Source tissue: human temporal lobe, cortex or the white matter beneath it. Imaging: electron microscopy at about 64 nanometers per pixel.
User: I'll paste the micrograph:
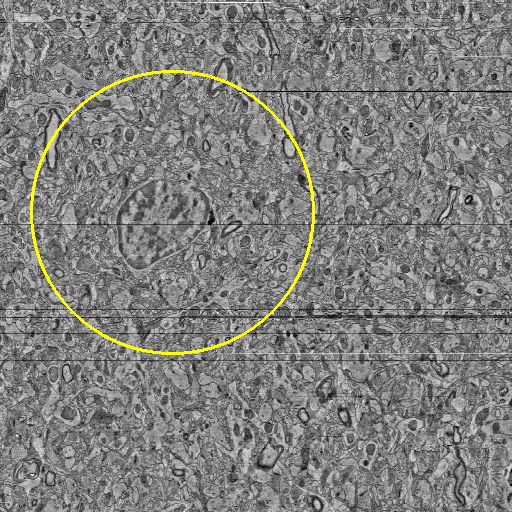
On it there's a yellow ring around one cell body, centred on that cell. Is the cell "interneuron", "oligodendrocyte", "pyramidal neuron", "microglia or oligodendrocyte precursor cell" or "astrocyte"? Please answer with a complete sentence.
The cell ringed in yellow is a microglial cell or oligodendrocyte precursor cell.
